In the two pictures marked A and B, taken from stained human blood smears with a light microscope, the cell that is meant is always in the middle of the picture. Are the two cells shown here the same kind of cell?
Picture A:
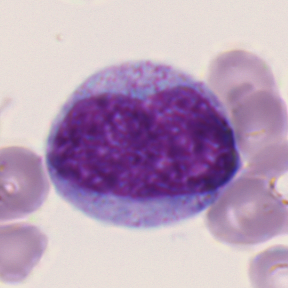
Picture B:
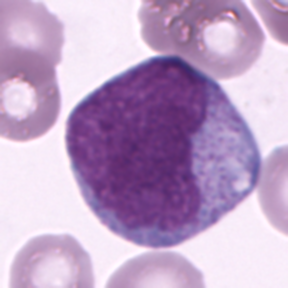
yes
